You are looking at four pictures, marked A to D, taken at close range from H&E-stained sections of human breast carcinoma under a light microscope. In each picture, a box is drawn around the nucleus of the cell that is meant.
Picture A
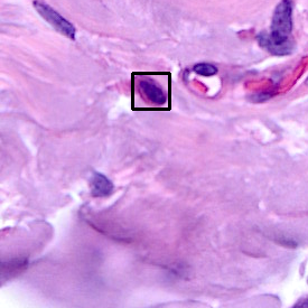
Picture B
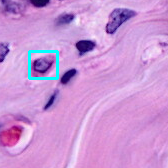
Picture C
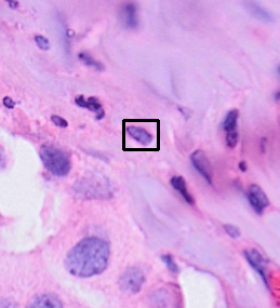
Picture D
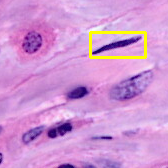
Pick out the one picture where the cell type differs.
D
